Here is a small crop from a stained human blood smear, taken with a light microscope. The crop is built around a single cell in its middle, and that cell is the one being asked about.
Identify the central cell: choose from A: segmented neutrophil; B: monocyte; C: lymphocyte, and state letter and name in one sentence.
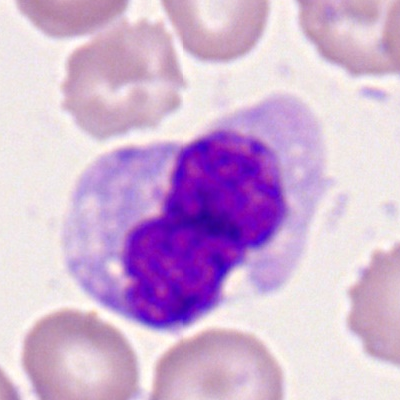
Well, the cell in the middle is a monocyte, making option B right.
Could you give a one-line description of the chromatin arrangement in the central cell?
The nucleus shows chromatin that is coarsely clumped.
